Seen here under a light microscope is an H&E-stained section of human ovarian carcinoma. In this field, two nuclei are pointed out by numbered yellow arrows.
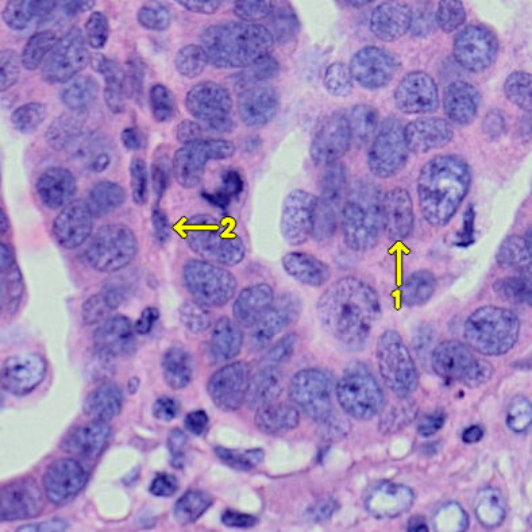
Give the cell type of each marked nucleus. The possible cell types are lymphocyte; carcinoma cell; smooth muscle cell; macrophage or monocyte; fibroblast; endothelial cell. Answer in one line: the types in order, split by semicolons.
carcinoma cell; macrophage or monocyte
